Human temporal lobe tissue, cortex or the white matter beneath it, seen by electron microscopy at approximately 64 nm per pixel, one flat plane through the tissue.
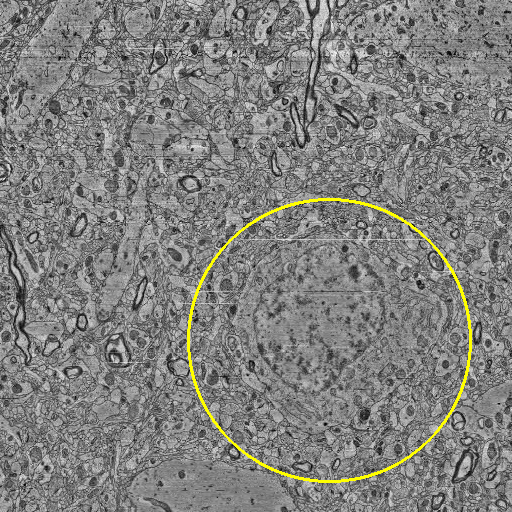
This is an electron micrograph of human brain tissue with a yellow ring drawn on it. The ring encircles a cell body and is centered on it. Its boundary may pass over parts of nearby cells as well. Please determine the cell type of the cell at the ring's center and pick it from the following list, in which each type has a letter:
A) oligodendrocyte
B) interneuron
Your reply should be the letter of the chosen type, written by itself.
B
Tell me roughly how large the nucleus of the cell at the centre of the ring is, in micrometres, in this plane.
About 10 by 8 micrometres in this plane.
